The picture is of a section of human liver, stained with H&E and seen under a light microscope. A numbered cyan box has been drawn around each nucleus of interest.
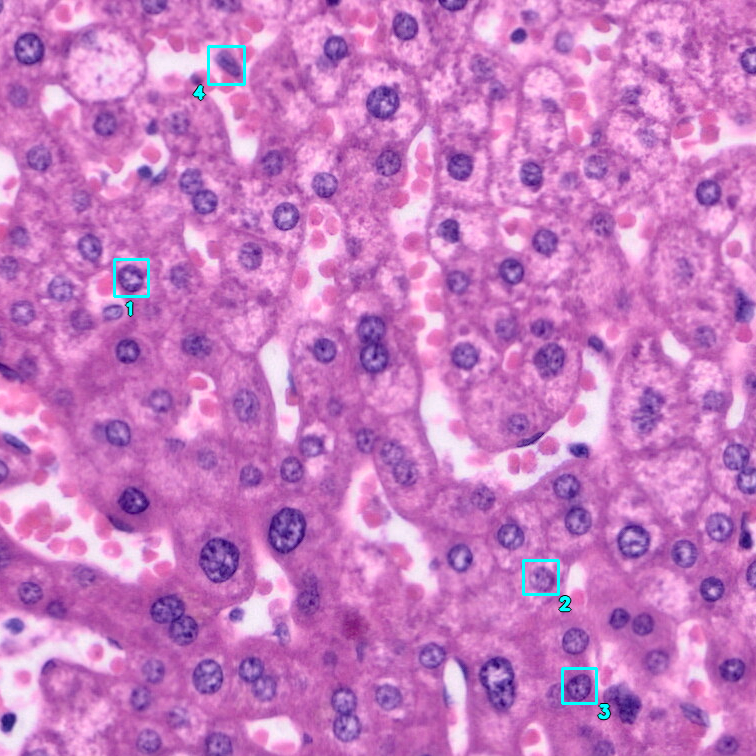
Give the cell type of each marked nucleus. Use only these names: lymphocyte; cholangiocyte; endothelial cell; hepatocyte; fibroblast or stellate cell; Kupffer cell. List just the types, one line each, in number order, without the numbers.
hepatocyte
hepatocyte
hepatocyte
Kupffer cell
